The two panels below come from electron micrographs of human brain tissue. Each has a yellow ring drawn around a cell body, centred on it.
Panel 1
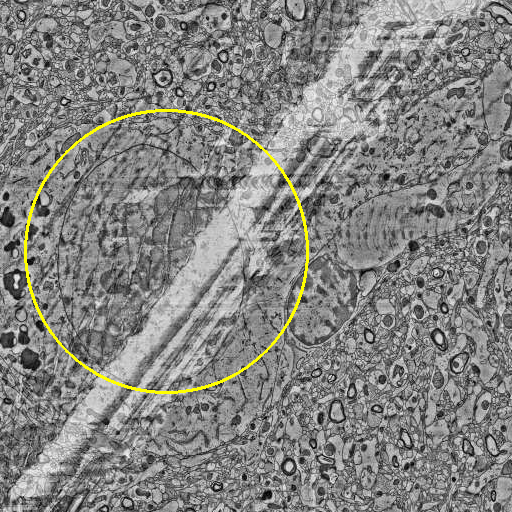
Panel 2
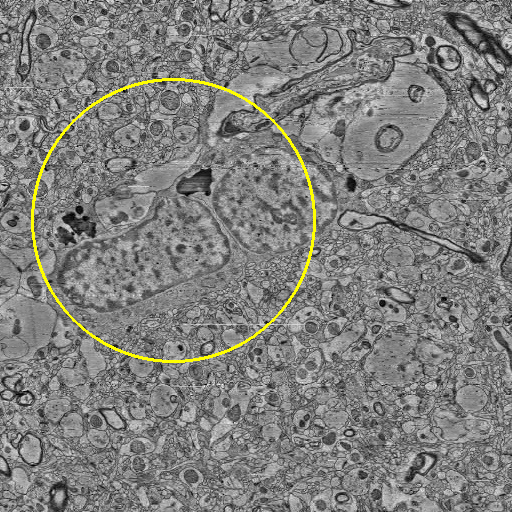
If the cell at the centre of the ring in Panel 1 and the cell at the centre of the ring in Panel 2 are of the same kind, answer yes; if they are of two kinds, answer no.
no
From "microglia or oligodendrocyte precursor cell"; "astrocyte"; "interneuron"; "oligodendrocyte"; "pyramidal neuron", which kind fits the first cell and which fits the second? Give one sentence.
The cell marked in the first picture is a pyramidal neuron, and the one marked in the second is an oligodendrocyte.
